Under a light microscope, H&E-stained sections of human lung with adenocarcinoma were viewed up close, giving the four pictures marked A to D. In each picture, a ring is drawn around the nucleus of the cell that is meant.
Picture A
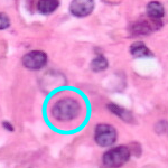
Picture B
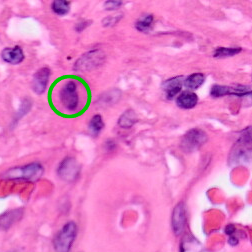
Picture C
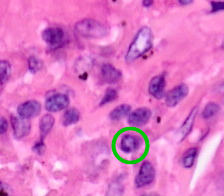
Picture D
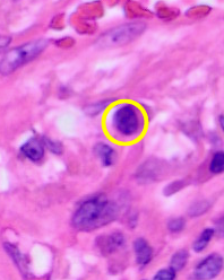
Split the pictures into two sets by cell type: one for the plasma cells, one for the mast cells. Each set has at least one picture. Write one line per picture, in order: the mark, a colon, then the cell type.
A: mast cell
B: plasma cell
C: plasma cell
D: plasma cell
